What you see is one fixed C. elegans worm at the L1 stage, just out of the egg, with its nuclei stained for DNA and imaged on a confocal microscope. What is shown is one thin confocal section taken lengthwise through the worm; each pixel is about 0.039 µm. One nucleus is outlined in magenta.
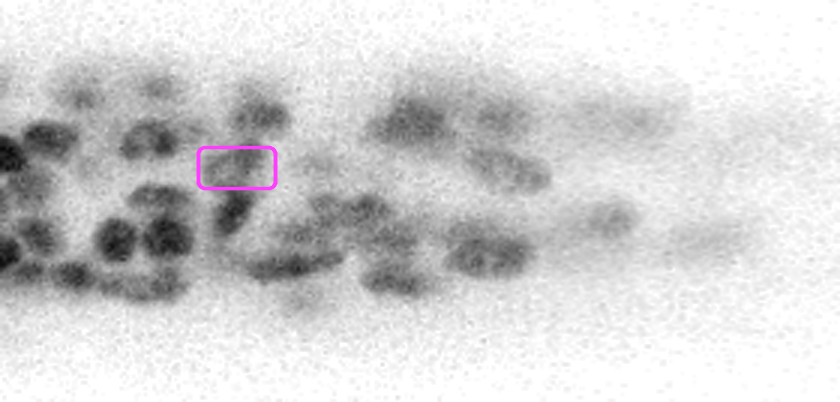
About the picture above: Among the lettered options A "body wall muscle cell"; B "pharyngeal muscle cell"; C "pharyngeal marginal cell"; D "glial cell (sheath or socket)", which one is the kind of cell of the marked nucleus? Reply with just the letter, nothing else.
C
